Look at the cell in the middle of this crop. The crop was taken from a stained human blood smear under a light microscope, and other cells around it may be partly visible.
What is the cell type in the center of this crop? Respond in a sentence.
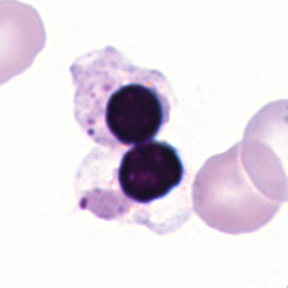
The cell at the centre of the field is a normoblast.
